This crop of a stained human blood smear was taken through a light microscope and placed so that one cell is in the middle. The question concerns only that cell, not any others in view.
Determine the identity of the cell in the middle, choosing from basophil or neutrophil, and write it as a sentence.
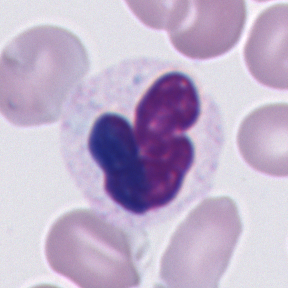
This crop's central cell is a neutrophil.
